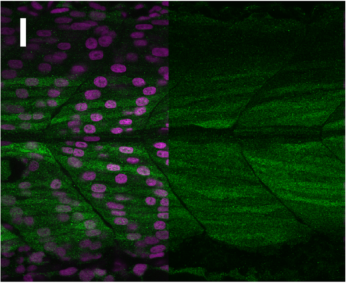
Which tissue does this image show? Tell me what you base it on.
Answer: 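Chevron-shaped segments separated by oblique boundaries. Long fibers run parallel to the body axis within each segment.
Conclusion: myotome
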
